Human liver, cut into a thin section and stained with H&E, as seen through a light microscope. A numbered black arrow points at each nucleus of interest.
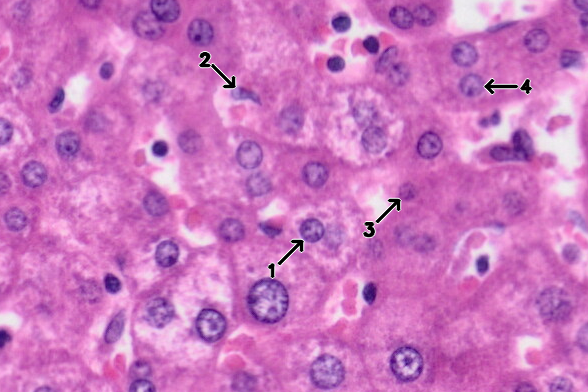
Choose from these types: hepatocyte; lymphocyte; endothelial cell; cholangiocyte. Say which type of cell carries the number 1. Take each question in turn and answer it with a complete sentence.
Cell 1 in the field of view is a hepatocyte.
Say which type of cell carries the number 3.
Cell number 3 in this section is a hepatocyte.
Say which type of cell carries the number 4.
The cell that bears the number 4 is a hepatocyte.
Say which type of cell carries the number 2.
Corresponding to an endothelial cell is the cell labelled 2.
